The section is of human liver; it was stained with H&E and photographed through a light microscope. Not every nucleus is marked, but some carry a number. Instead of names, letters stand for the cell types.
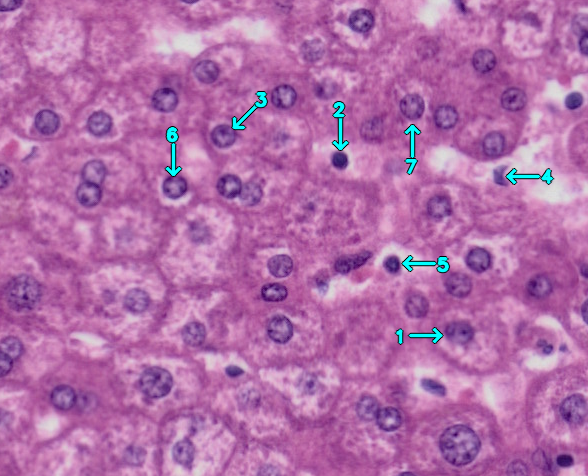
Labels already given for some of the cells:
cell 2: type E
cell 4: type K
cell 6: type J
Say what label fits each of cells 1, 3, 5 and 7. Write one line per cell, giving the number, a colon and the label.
1: type J
3: type J
5: type E
7: type J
